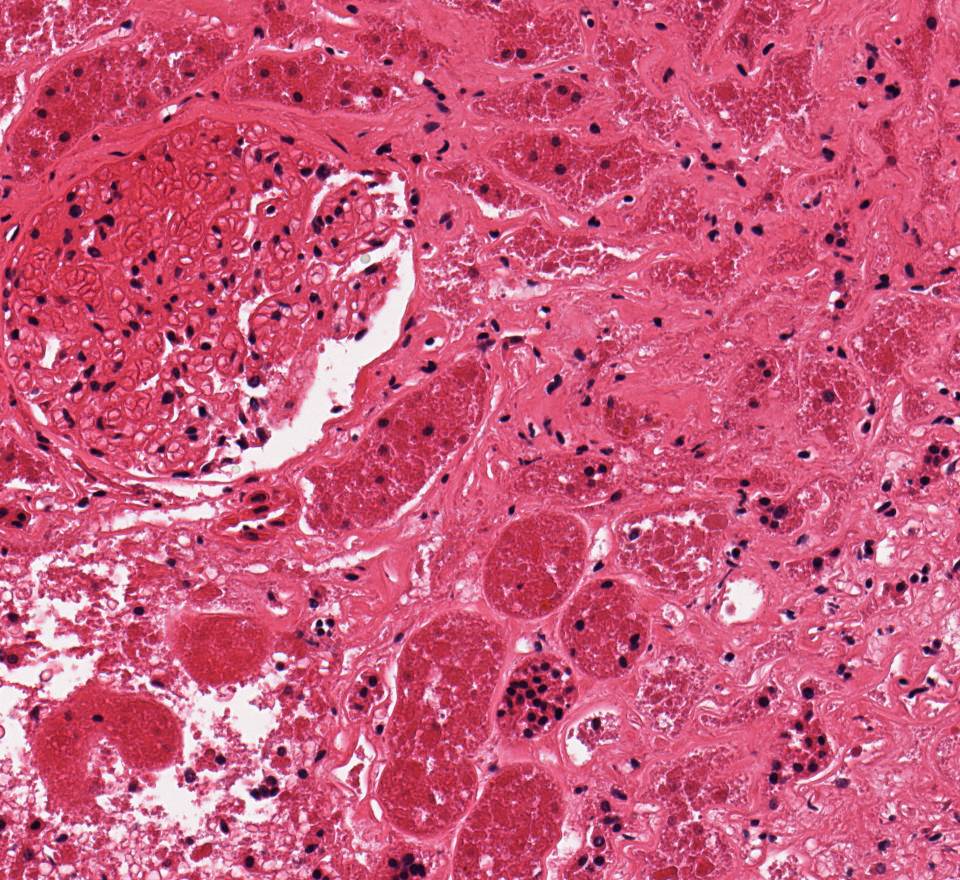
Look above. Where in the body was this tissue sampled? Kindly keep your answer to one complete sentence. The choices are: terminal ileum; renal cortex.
What was sampled is tissue from the renal cortex.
